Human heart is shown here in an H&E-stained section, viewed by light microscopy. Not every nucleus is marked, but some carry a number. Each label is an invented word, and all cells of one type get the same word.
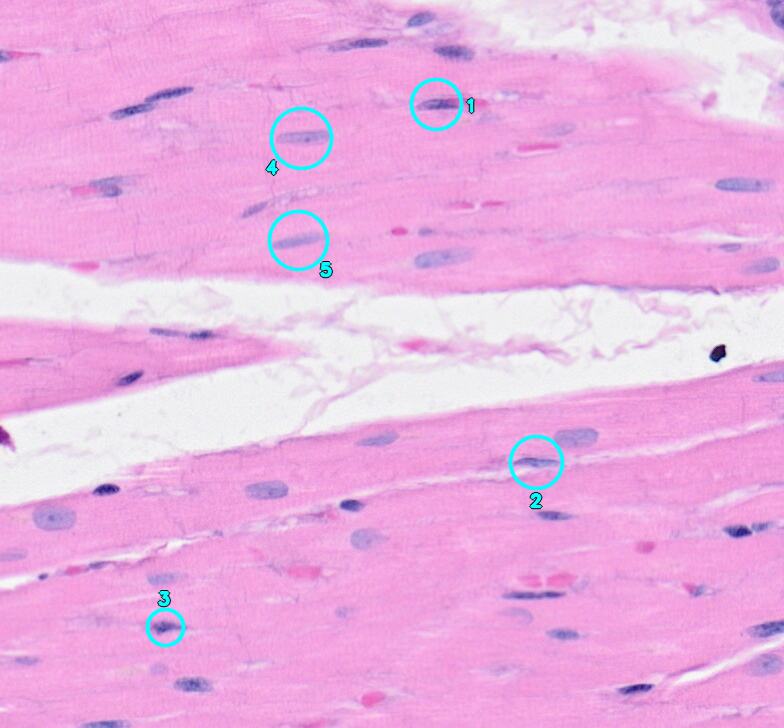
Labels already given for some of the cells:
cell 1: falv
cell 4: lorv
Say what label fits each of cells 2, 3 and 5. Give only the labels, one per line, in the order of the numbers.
falv
falv
lorv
